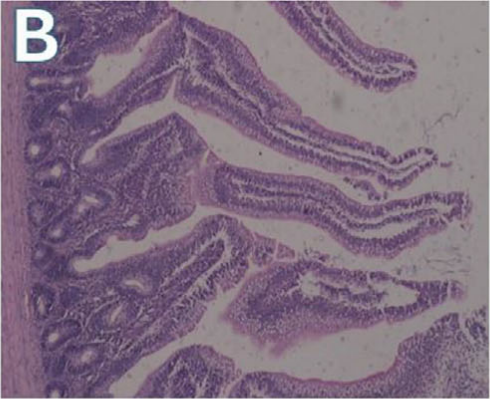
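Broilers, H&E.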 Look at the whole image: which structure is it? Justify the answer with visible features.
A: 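Long intestinal villi. Tall slender finger-like projections extend far into the lumen. Crypts form a short layer at the base above the muscle.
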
